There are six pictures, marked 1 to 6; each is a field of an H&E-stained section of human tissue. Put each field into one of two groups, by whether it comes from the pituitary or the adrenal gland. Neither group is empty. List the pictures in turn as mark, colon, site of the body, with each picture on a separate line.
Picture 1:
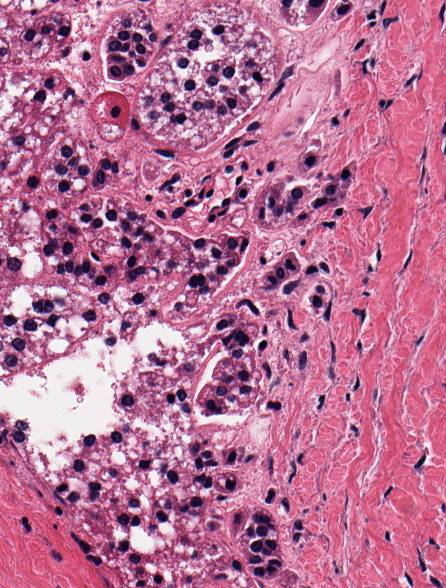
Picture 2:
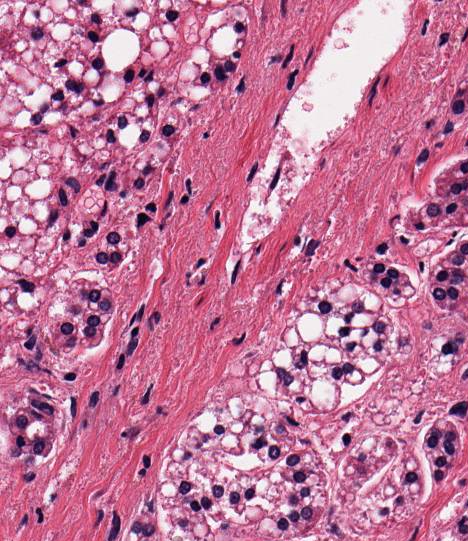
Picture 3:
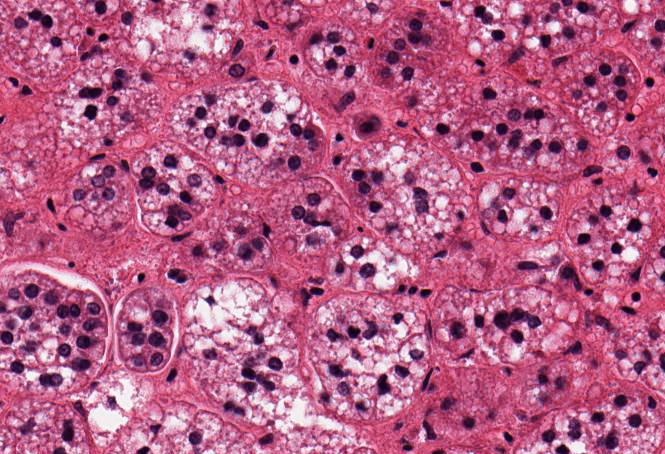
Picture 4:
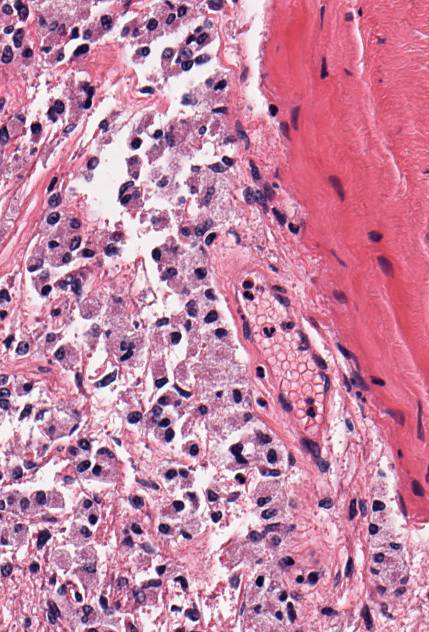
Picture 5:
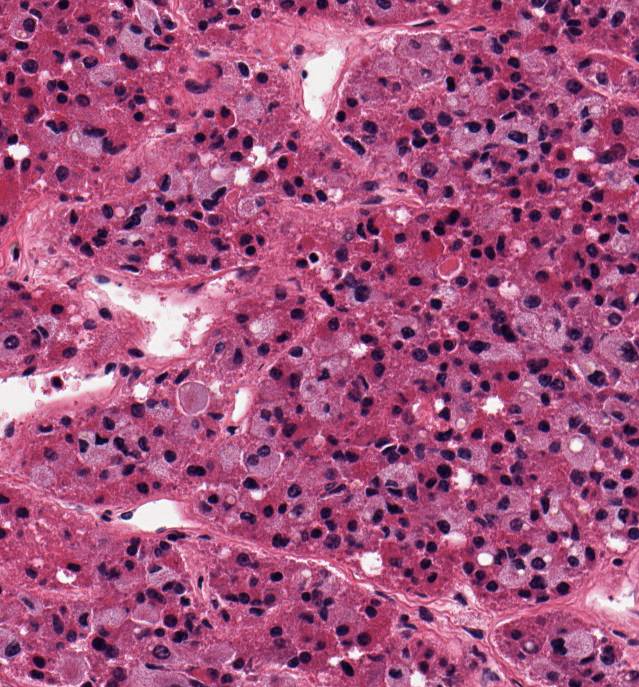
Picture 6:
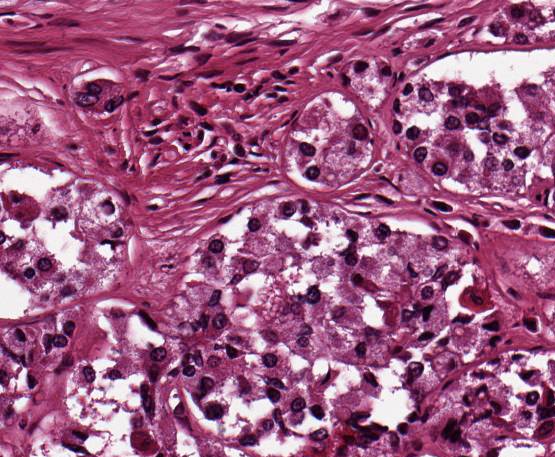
1: adrenal gland
2: adrenal gland
3: adrenal gland
4: pituitary
5: pituitary
6: pituitary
